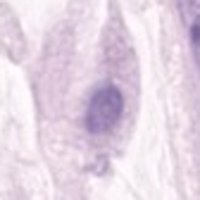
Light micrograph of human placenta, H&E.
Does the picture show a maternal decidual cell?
Yes.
